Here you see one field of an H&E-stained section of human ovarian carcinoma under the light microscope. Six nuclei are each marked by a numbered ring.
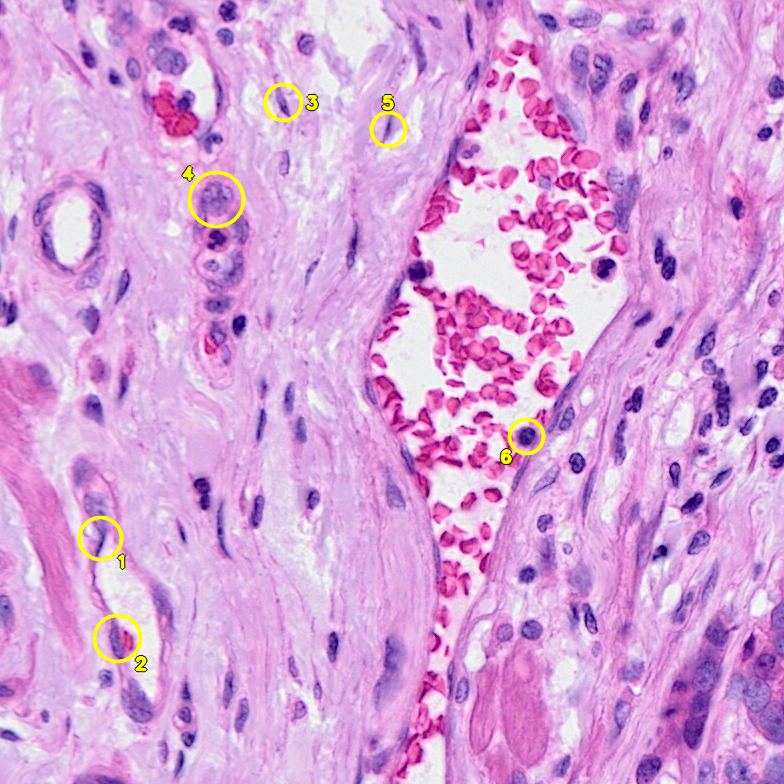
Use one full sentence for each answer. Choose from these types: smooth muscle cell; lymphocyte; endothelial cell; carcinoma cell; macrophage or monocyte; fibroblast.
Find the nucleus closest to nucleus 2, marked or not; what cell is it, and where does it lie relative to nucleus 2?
The nearest one is a lymphocyte, found below nucleus 2.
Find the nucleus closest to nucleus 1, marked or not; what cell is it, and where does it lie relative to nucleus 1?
The nearest one is an endothelial cell, found above nucleus 1.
